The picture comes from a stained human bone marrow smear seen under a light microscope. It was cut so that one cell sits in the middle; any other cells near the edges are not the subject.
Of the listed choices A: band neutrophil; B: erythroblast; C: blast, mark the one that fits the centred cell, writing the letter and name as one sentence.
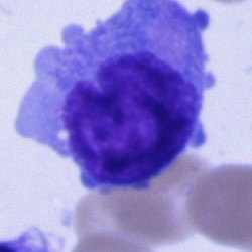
It is a blast that occupies the centre of the crop, so option C is correct.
